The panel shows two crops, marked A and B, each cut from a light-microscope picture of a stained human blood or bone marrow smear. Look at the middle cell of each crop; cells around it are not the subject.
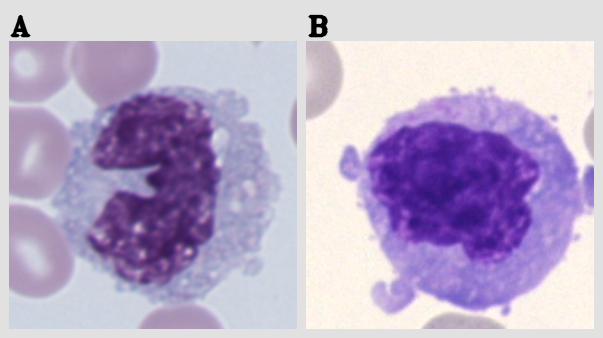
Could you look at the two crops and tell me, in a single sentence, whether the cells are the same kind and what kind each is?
Yes, that is right, both crops show monocytes.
